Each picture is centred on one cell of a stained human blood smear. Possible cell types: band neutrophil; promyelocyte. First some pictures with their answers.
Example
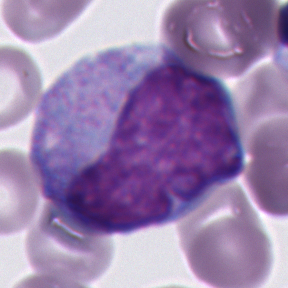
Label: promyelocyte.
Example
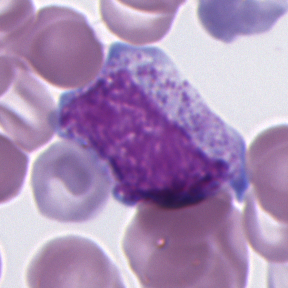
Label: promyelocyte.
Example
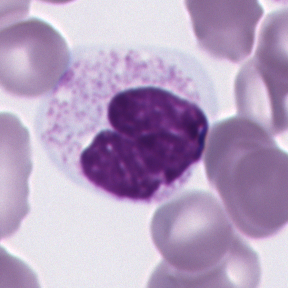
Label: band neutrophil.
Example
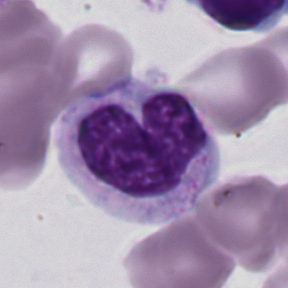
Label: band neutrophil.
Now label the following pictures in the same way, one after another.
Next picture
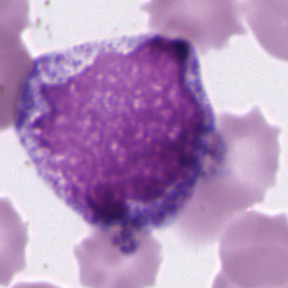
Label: promyelocyte.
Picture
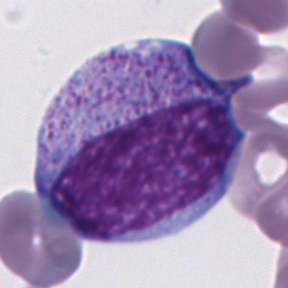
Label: promyelocyte.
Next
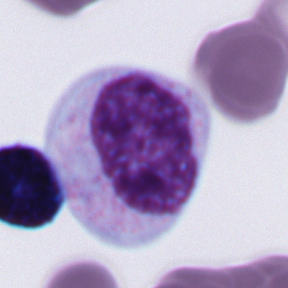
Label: band neutrophil.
